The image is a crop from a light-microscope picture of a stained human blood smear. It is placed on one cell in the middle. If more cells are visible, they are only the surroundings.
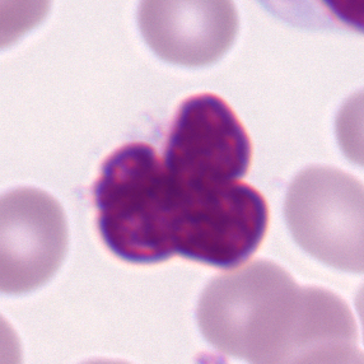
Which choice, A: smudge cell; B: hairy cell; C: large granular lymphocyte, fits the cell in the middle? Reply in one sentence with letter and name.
The cell centered in the crop is a smudge cell, making option A the correct pick.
